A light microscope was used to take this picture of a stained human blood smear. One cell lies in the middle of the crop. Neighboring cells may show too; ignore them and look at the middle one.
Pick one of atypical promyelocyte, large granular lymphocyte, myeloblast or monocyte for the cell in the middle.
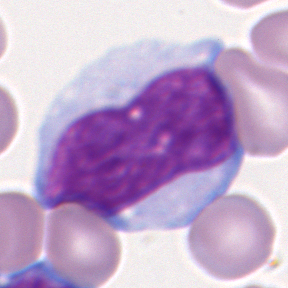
myeloblast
